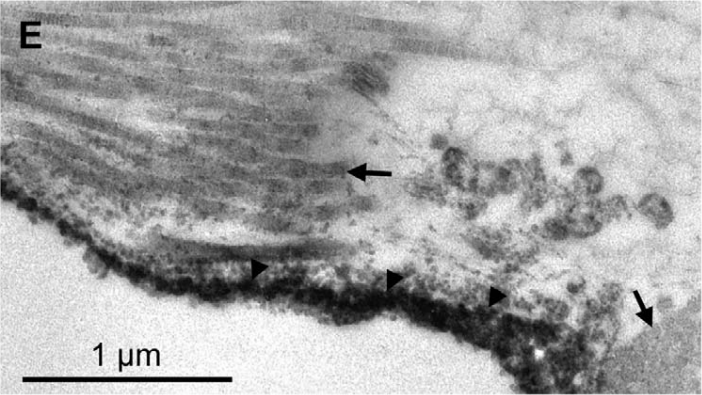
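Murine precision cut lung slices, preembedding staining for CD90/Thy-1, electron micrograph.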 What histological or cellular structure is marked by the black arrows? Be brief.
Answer: collagen fibers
